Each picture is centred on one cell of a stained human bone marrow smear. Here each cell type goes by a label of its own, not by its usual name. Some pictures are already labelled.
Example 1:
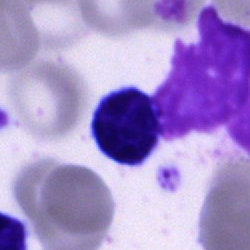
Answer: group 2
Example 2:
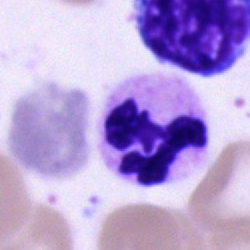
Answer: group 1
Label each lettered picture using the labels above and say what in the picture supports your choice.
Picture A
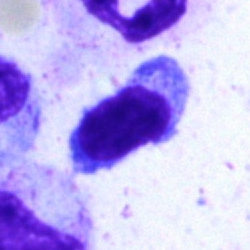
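Label: group 2. The scant cytoplasm is gathered mainly at the upper right end of the cell.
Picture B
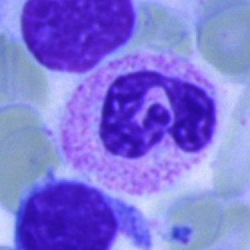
Label: group 1. The cytoplasm is abundant and pale, forming a wide rim around the nucleus.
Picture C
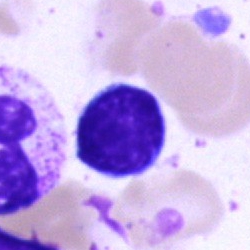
Label: group 2. Cytoplasm is at most a very thin rim around the nucleus.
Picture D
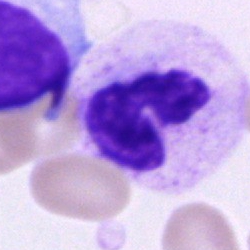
Label: group 1. Fine purple granules are scattered through the cytoplasm.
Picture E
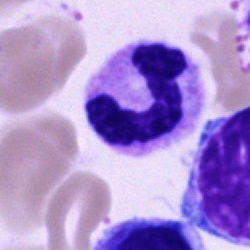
Label: group 1. The nucleus is a thick curved band bent into a J or horseshoe shape.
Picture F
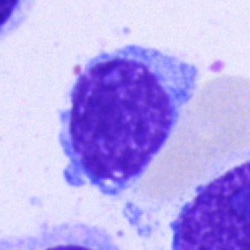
Label: group 2. The nucleus fills most of the cell.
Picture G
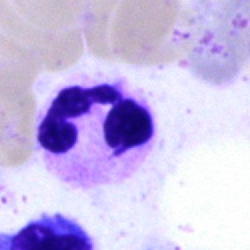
Label: group 1. The cytoplasm is plentiful and pale pinkish-lilac.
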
